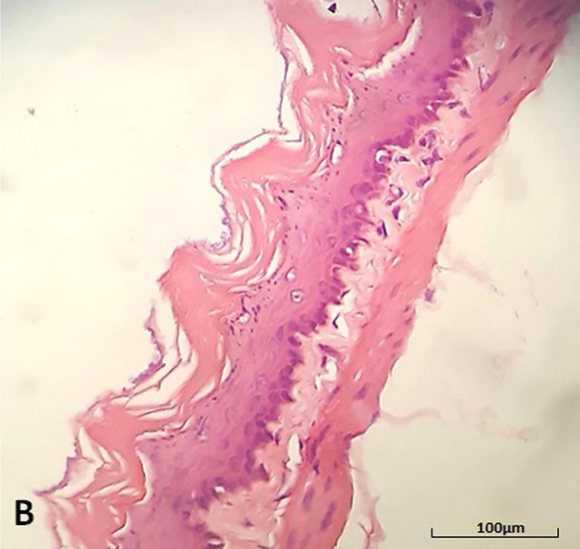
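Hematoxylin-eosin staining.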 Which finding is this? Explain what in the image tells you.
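A thick, pink, wavy, lamellated anucleate layer covers the surface of the epithelium. The keratin layers are stacked in several folded sheets. Beneath the pink layer lies a purple layer of nucleated epithelial cells. On this evidence: hyperkeratosis.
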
